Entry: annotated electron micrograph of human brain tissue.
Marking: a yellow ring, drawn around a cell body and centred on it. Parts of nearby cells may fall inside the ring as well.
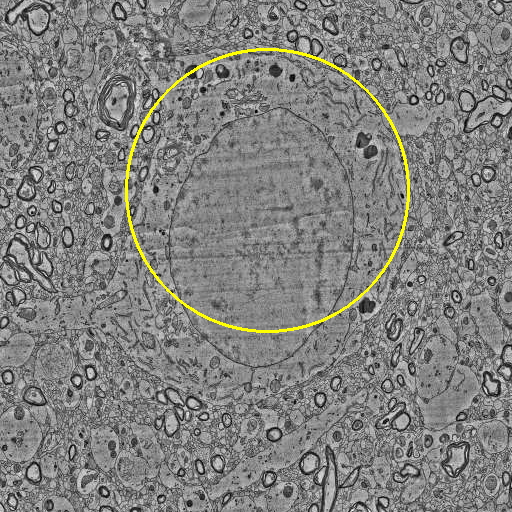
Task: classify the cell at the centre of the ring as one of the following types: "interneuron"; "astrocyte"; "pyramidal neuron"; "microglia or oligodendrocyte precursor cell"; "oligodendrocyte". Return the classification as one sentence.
The marked cell is classified as a pyramidal neuron.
